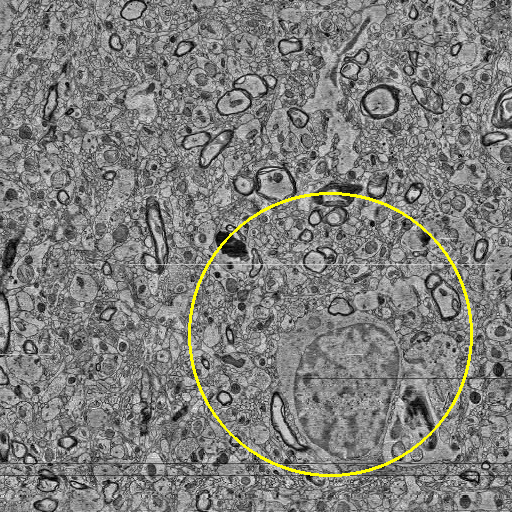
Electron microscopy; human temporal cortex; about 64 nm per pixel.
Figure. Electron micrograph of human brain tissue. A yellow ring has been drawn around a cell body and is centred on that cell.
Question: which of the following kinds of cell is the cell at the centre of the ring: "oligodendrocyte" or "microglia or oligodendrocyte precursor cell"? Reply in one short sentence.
The cell at the centre of the ring is an oligodendrocyte.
